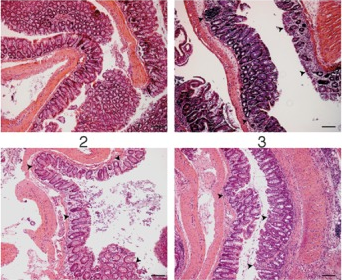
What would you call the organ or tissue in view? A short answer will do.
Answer: Colon.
